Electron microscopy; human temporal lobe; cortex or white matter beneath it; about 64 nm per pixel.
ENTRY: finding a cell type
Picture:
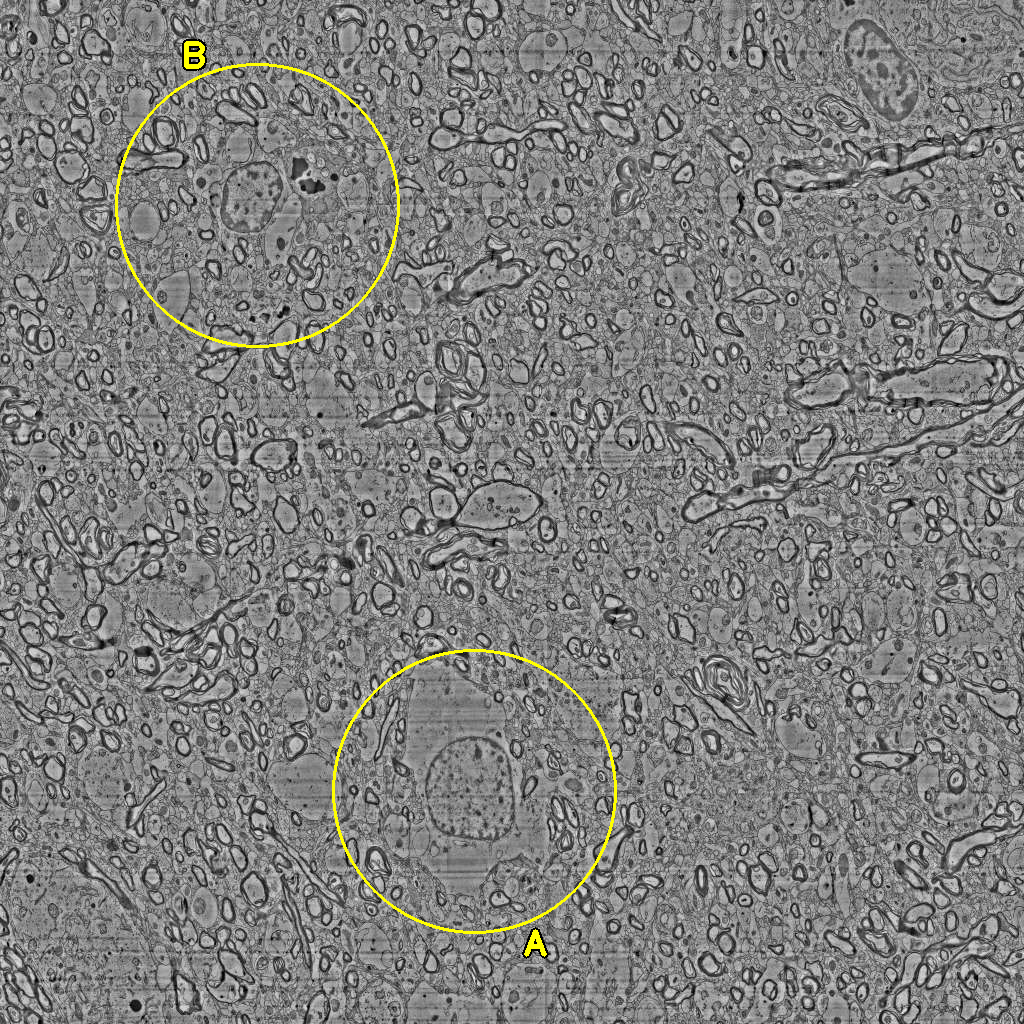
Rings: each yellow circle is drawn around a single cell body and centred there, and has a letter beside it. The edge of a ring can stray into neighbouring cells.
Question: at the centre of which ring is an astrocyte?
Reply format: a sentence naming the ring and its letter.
The answer is ring A, the one centred on the cell asked for.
